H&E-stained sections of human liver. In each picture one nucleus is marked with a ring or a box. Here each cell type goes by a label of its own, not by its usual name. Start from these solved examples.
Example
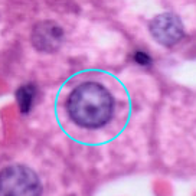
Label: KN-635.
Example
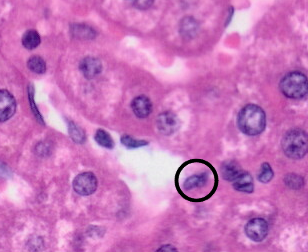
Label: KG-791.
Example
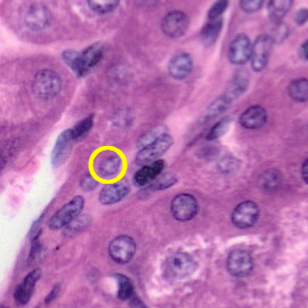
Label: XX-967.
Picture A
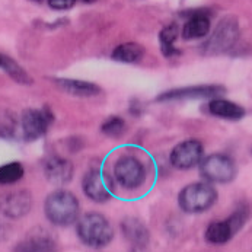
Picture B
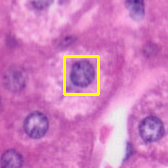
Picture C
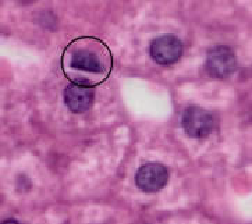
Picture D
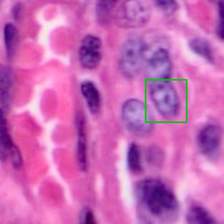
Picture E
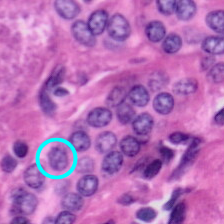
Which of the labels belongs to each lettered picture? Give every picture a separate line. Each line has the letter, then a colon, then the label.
A: XX-967.
B: KN-635.
C: KG-791.
D: XX-967.
E: XX-967.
